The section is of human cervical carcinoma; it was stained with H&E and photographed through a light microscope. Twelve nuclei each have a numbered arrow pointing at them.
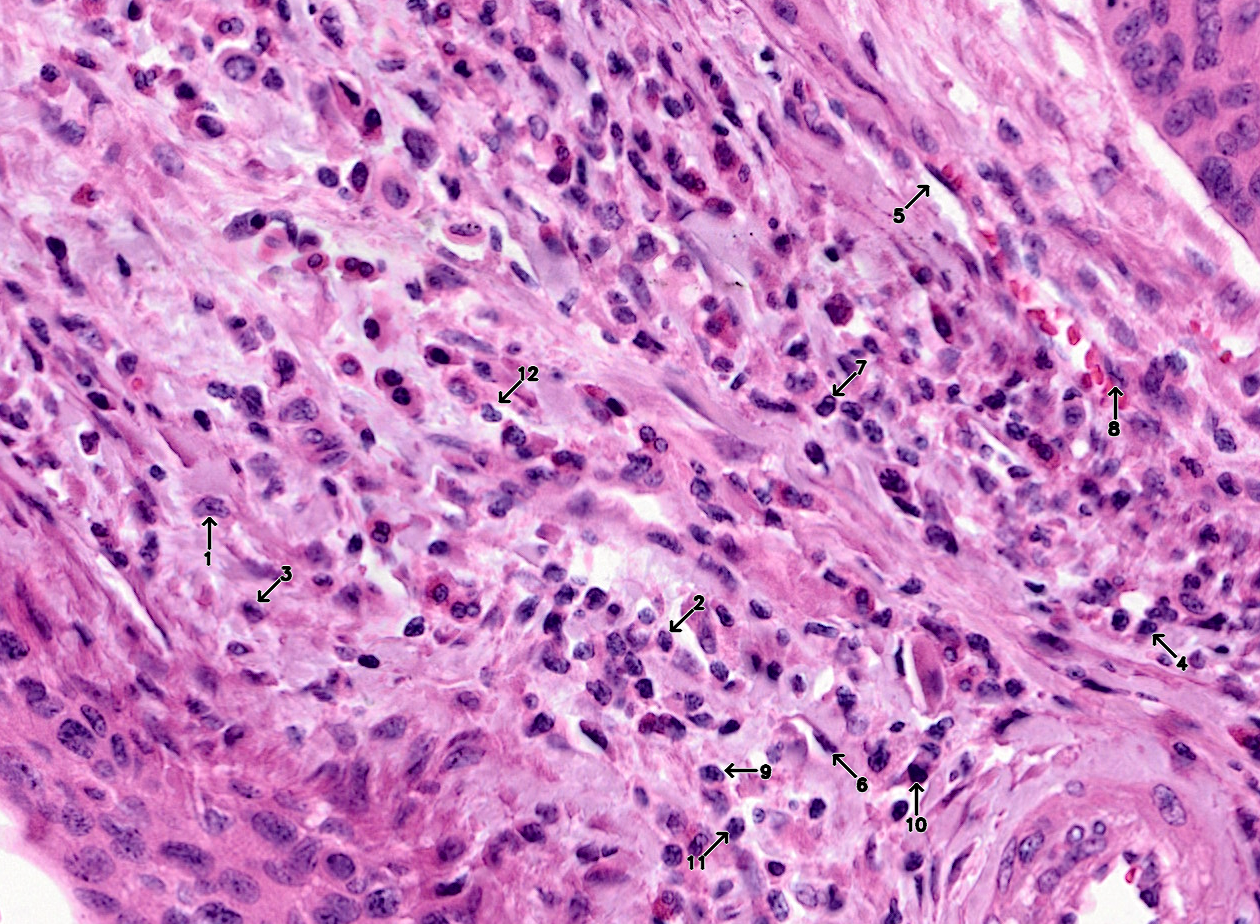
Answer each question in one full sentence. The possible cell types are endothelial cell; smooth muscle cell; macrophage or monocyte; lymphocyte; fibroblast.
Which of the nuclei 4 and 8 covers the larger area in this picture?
Nucleus 8 covers more area, about 1.5 times as much as nucleus 4.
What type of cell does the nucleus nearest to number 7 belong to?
Number 7 lies closest to the nucleus of a lymphocyte.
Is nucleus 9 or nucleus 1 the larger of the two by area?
Of the two, number 1 is bigger and takes up about 1.5 times the area of number 9.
